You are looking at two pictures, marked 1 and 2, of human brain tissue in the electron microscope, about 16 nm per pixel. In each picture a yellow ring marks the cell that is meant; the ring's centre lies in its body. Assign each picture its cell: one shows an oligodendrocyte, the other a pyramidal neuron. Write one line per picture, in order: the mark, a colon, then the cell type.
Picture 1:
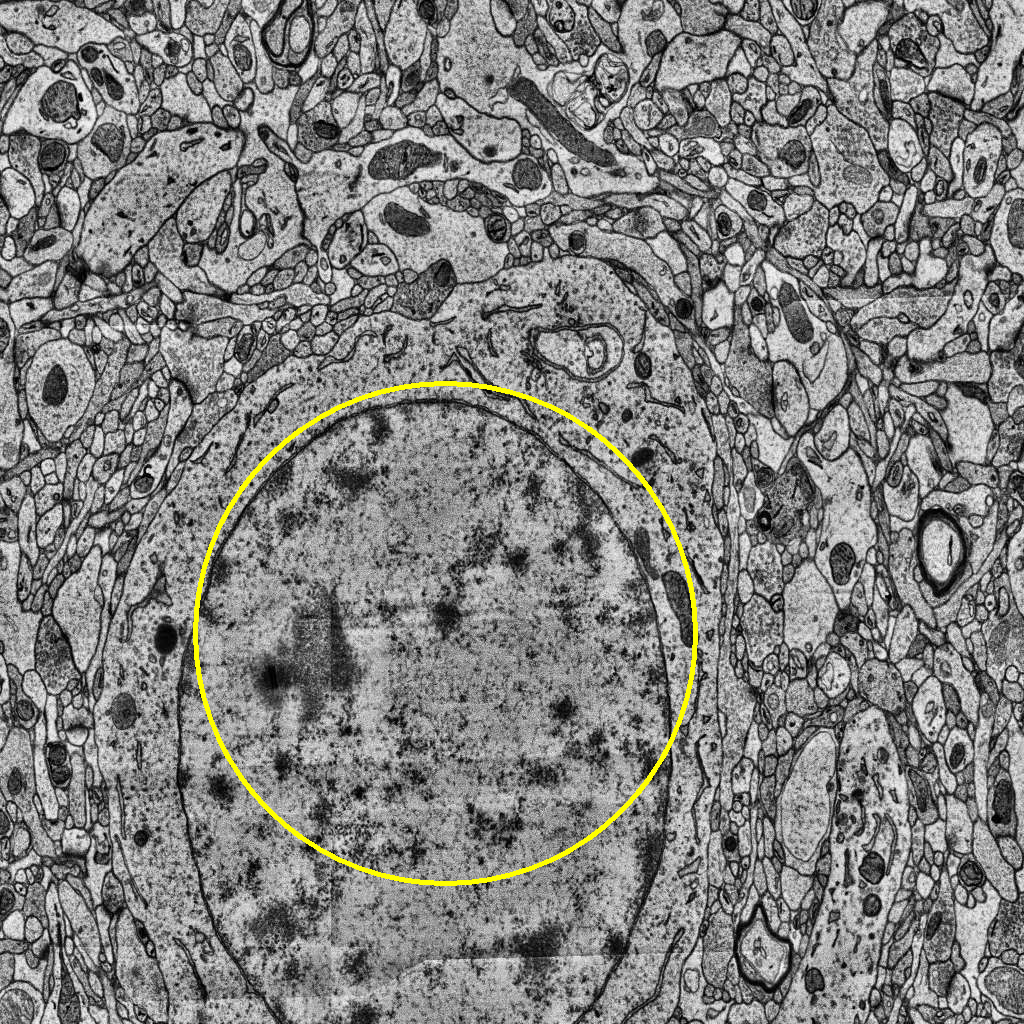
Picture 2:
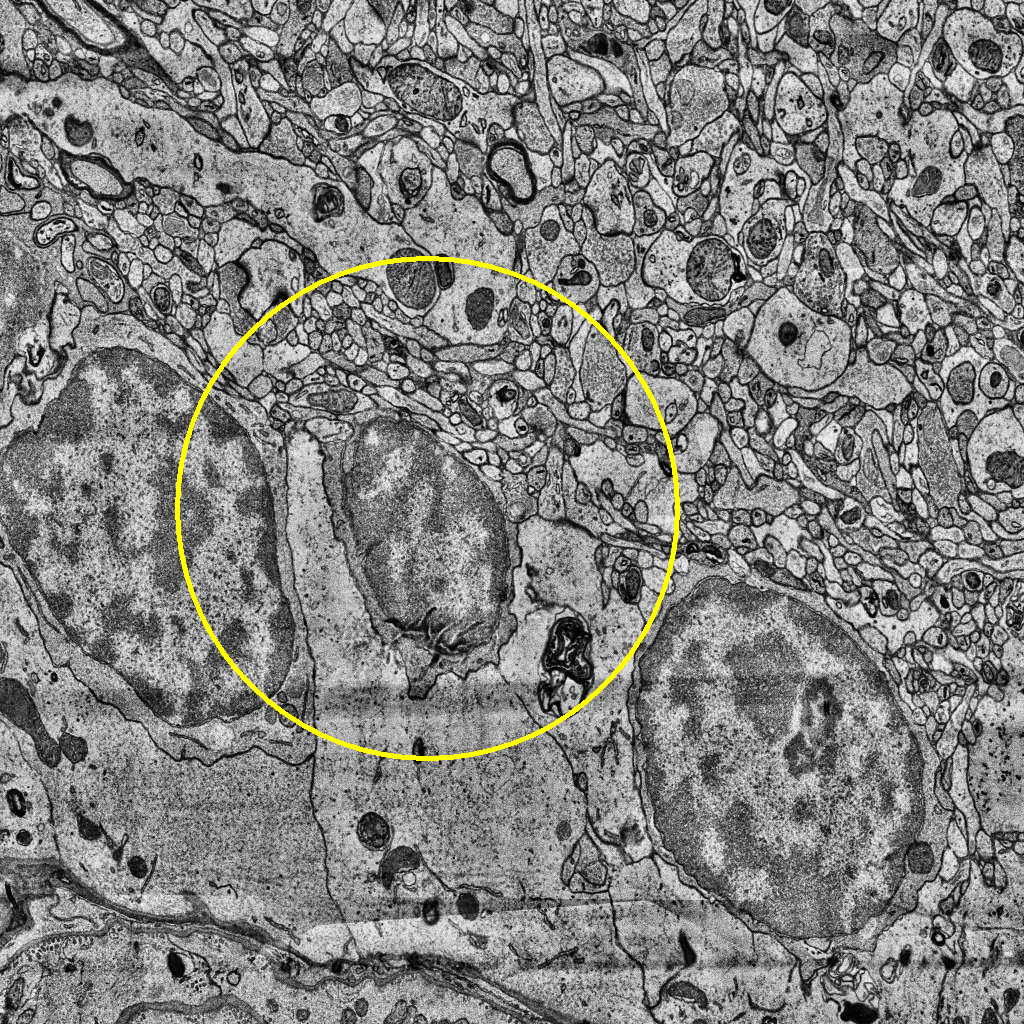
1: pyramidal neuron
2: oligodendrocyte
